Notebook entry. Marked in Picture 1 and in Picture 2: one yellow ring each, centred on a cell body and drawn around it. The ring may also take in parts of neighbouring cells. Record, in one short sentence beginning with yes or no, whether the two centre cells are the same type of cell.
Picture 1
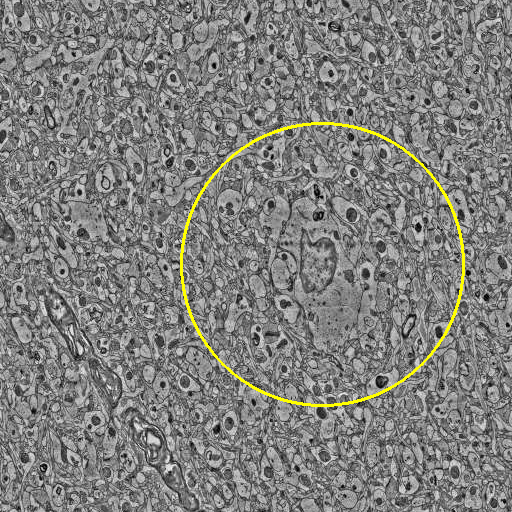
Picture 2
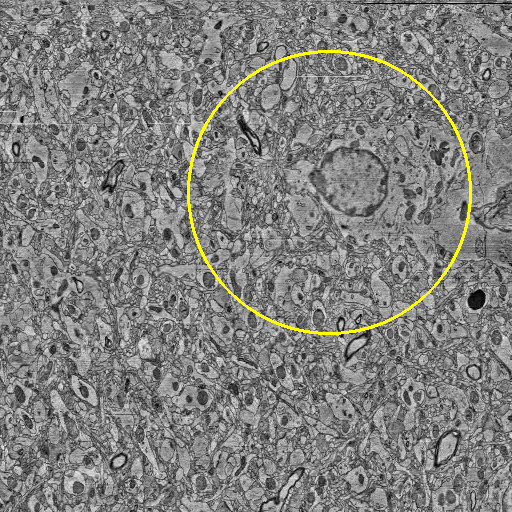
No, they are two types of cell.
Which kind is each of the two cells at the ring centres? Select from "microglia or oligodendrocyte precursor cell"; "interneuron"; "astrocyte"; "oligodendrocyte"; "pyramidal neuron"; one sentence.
The cell at the centre of the ring is an interneuron in the first picture and a microglial cell or oligodendrocyte precursor cell in the second.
